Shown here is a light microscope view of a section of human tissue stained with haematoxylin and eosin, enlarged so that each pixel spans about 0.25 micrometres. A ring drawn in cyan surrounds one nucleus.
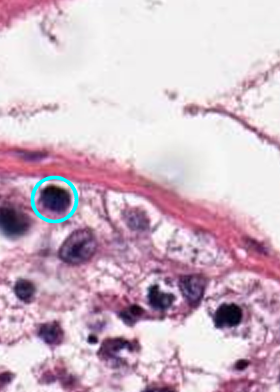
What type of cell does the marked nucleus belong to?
spermatogonium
